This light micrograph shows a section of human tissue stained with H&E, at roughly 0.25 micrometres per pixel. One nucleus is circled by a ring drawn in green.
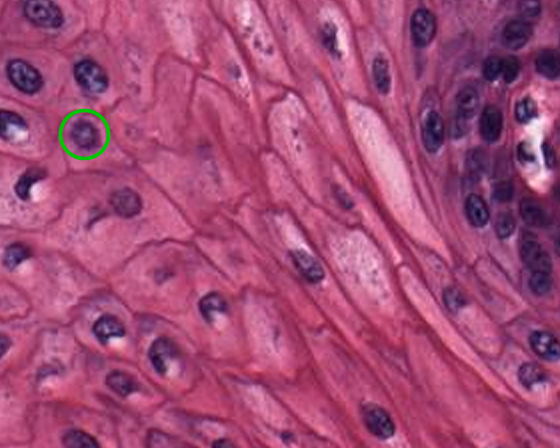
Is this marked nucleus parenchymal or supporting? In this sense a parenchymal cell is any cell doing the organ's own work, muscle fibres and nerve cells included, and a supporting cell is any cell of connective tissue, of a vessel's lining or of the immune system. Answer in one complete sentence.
The marked nucleus is the nucleus of a squamous epithelial cell, a cell of the parenchyma.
